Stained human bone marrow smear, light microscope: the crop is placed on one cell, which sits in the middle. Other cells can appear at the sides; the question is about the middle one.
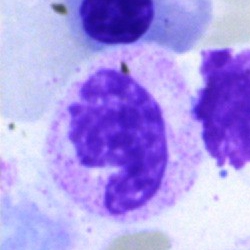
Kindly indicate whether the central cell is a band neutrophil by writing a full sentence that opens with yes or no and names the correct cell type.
Yes, the cell in the middle of this smear crop is a band neutrophil.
